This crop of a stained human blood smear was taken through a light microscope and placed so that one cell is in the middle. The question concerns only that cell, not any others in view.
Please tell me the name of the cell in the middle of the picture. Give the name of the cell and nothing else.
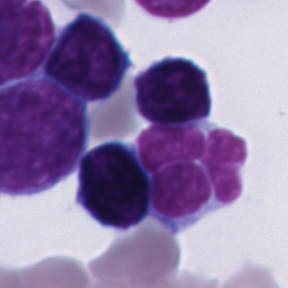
blast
